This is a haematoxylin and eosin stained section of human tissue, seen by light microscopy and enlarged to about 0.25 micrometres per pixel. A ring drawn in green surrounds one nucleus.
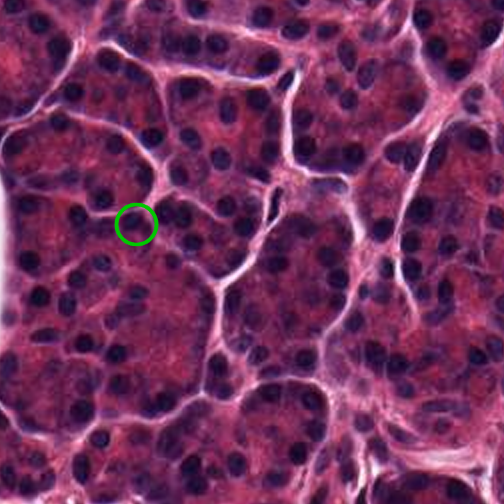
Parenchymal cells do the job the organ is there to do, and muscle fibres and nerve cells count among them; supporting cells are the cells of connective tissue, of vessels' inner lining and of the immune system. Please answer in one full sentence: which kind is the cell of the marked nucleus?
The marked nucleus forms part of a parenchymal cell, namely a pancreatic acinar cell.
